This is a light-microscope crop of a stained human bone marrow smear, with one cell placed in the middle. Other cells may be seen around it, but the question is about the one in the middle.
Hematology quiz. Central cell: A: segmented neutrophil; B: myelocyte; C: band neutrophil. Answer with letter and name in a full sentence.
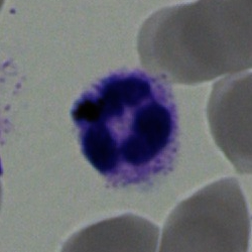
Option A gets it right: the cell in the middle is a segmented neutrophil.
